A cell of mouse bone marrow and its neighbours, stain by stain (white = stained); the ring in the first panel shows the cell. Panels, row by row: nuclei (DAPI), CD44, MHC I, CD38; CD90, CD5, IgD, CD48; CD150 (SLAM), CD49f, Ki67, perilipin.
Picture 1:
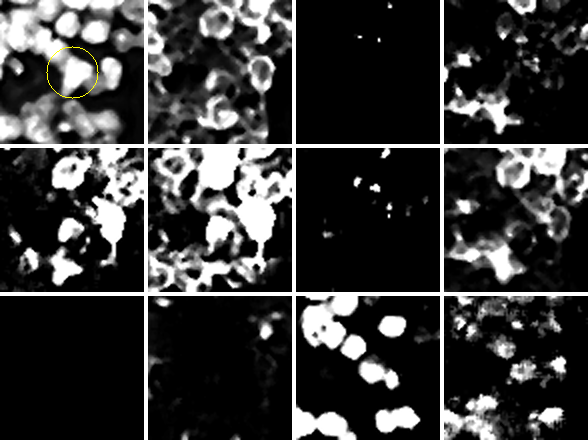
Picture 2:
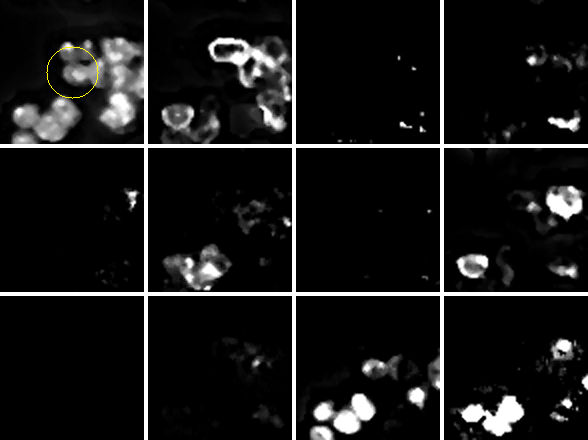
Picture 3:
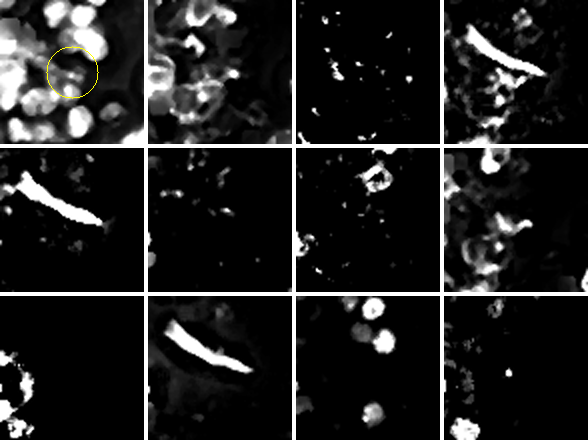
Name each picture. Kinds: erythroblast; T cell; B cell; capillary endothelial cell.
(1) T cell
(2) erythroblast
(3) capillary endothelial cell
